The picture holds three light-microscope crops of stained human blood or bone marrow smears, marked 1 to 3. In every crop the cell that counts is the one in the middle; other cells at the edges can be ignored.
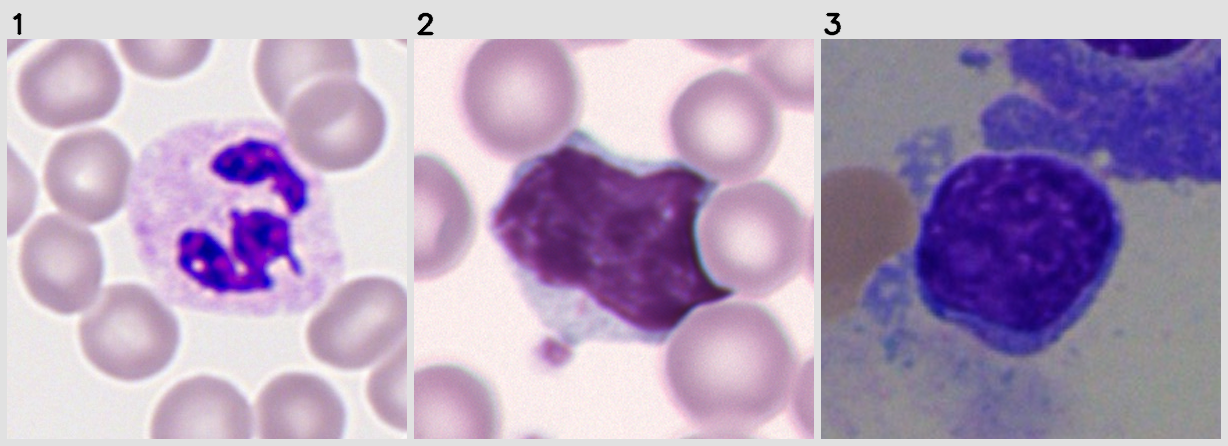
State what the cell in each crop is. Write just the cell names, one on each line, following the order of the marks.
segmented neutrophil
lymphocyte
lymphocyte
